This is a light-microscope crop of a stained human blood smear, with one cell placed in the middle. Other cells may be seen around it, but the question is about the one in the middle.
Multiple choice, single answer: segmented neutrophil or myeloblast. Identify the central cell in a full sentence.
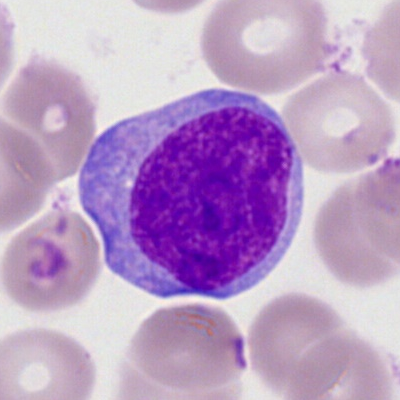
As for the cell in the middle, it is a myeloblast.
